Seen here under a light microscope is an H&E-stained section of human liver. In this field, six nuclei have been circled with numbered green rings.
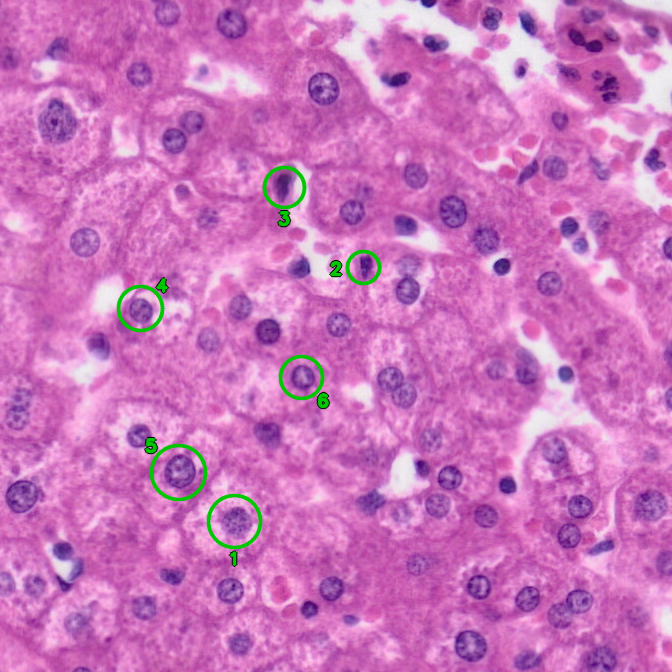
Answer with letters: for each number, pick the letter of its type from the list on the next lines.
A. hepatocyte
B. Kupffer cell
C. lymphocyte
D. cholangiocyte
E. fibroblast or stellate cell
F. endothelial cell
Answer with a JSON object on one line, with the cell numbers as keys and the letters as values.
{"1": "A", "2": "E", "3": "B", "4": "A", "5": "A", "6": "A"}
